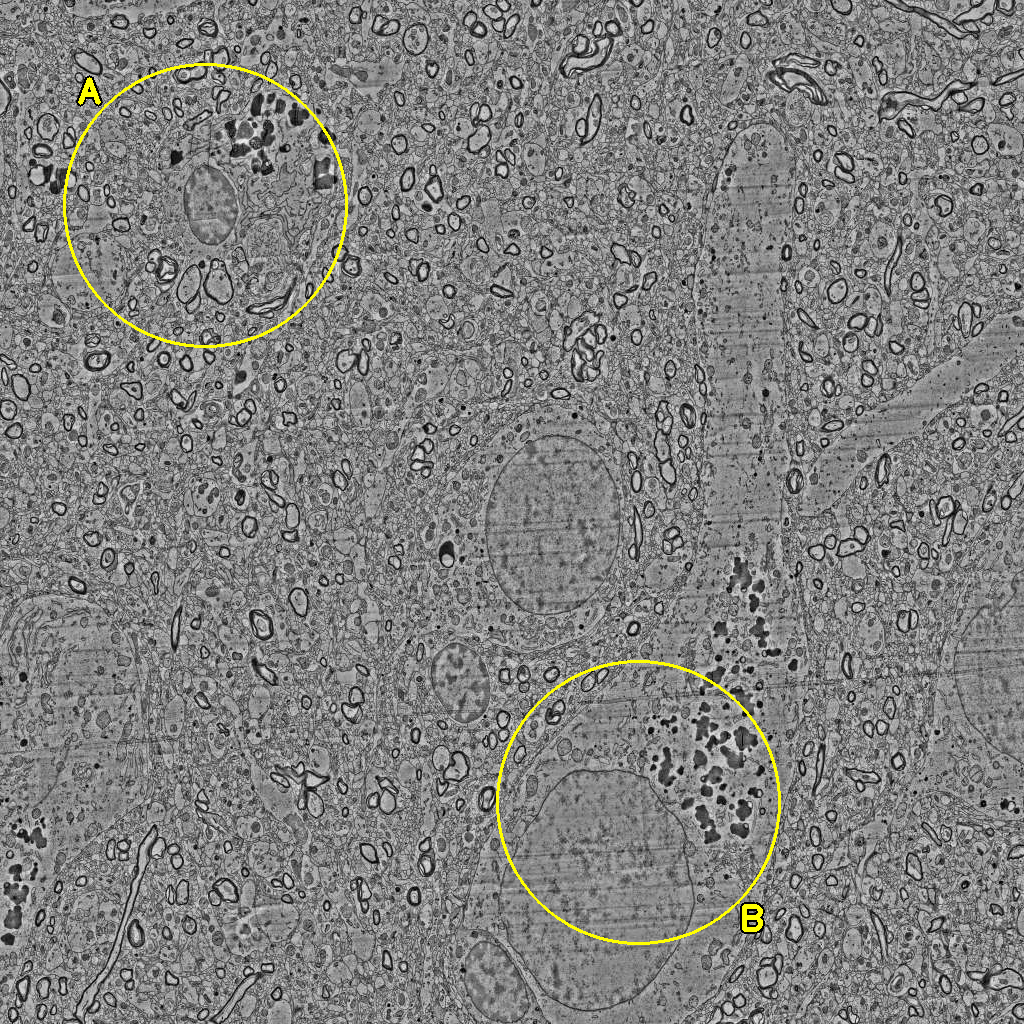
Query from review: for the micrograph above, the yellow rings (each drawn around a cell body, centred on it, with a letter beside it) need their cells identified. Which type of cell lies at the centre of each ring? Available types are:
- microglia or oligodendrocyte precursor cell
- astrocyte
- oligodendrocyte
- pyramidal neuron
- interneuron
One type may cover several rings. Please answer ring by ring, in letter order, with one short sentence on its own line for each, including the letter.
Ring A is drawn around an oligodendrocyte.
Ring B is drawn around a pyramidal neuron.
